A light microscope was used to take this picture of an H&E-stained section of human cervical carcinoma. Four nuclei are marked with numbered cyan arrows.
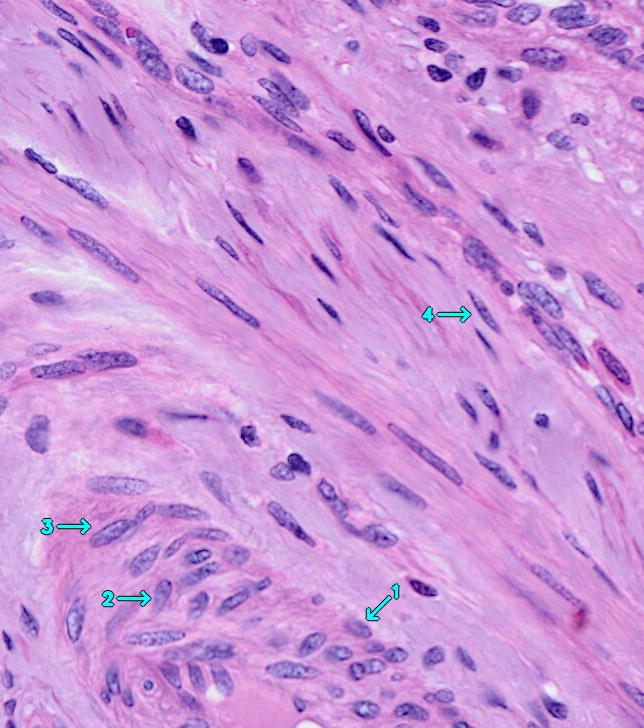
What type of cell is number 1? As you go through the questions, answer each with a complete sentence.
The correct answer for cell 1 is a smooth muscle cell.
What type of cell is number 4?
The label 4 in this section denotes a fibroblast.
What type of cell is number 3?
The marked cell bearing number 3 is a smooth muscle cell.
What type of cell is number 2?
Looking at the numbered marks, cell 2 is a smooth muscle cell.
